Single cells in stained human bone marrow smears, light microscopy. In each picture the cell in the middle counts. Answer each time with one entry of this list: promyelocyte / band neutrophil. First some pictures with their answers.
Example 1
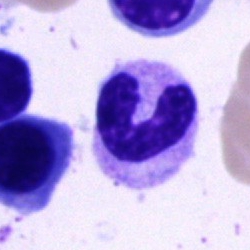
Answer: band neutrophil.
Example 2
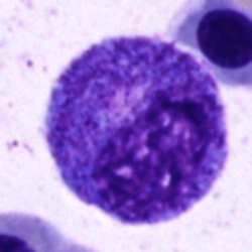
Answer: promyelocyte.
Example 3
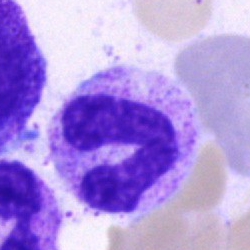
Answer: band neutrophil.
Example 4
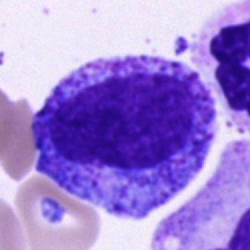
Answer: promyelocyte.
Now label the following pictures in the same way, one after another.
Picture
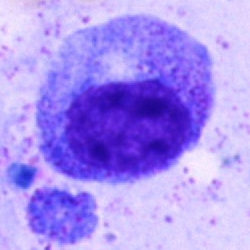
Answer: promyelocyte.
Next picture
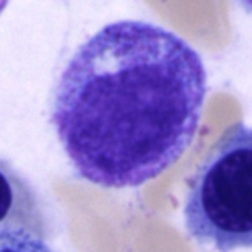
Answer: promyelocyte.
